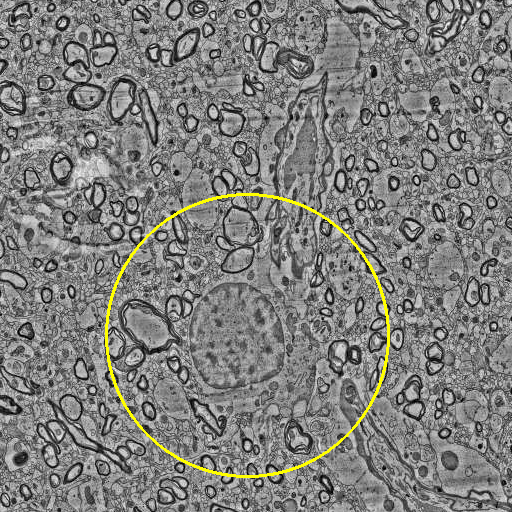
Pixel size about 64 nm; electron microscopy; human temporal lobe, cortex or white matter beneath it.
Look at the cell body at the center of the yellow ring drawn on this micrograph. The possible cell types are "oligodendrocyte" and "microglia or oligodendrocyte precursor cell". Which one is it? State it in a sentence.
The cell in the middle of the ring is an oligodendrocyte.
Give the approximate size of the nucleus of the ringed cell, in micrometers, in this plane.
The nucleus measures about 7 micrometers across in this plane.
